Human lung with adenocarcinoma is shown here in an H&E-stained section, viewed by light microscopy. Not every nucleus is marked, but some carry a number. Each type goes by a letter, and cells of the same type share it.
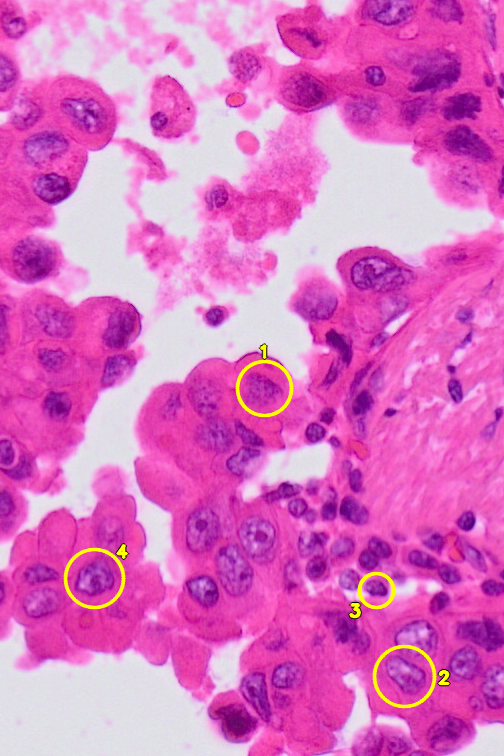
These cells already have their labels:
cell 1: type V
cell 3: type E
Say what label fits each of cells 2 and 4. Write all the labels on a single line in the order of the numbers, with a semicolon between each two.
type V; type V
